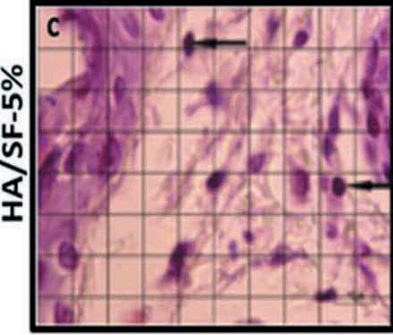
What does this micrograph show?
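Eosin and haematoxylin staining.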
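Along the left edge the tissue is denser and more strongly stained purple. Toward the right, pale pink strands form a loose mesh. Purple nuclei are numerous: many are elongated or spindle-shaped, while others are small, round and very dark with little surrounding cytoplasm, as expected of lymphocytes.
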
